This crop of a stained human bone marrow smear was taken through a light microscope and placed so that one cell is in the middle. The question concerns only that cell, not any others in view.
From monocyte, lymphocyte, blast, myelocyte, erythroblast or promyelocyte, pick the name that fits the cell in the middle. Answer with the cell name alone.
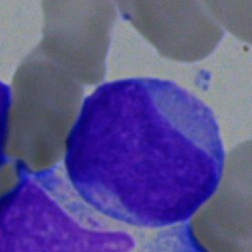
blast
